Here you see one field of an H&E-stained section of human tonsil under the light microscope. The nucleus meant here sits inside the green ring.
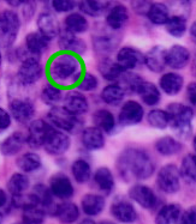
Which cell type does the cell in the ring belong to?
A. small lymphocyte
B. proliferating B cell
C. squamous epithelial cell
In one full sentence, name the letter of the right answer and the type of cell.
Option A correctly identifies the cell in the ring as a small lymphocyte.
